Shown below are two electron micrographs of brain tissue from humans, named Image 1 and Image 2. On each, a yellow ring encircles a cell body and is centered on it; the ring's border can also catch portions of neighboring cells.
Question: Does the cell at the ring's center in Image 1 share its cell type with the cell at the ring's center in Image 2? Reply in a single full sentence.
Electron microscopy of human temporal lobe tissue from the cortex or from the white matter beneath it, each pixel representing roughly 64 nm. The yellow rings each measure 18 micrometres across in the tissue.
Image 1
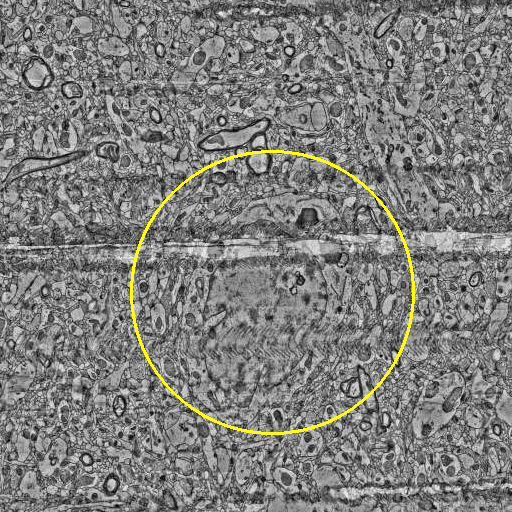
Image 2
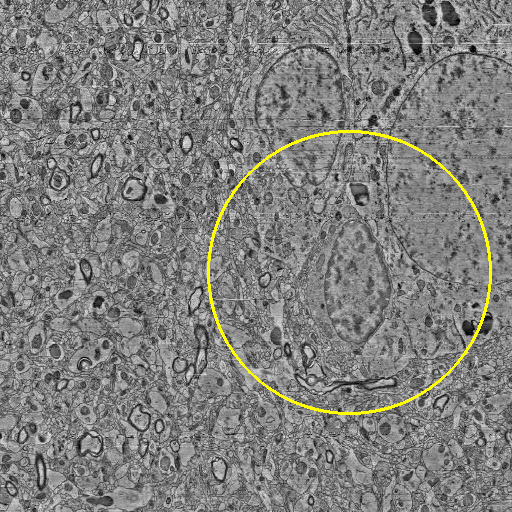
No, the two cells at the ring centers, in Image 1 and Image 2, are of two cell types.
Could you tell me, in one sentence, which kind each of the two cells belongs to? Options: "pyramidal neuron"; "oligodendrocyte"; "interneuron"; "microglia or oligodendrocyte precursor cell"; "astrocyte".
At the centre of the first ring sits an interneuron, and at the centre of the second sits an oligodendrocyte.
